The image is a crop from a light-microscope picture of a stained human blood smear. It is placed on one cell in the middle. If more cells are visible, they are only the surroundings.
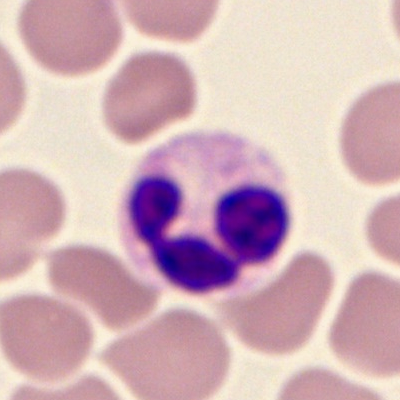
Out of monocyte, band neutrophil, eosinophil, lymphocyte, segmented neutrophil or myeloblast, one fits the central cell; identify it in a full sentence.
This crop has a segmented neutrophil at its centre.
